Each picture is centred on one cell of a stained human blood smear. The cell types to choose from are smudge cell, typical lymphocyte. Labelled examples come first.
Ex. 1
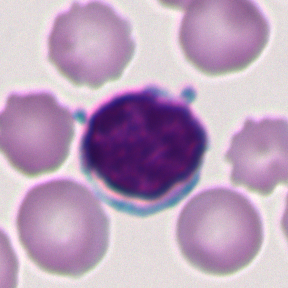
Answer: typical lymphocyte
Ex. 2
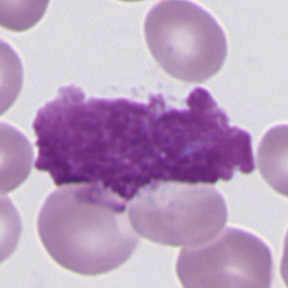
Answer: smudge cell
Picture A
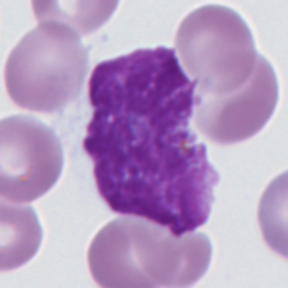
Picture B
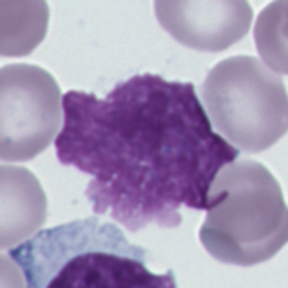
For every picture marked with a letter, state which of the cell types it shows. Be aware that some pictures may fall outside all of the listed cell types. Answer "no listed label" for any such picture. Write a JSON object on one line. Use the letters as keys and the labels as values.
{"A": "smudge cell", "B": "smudge cell"}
